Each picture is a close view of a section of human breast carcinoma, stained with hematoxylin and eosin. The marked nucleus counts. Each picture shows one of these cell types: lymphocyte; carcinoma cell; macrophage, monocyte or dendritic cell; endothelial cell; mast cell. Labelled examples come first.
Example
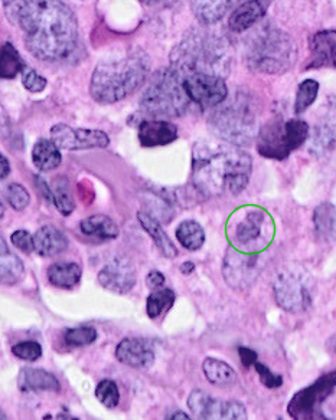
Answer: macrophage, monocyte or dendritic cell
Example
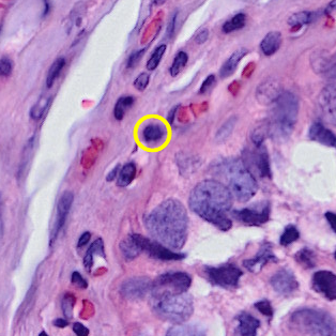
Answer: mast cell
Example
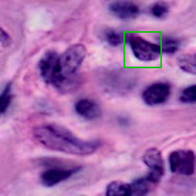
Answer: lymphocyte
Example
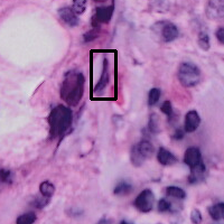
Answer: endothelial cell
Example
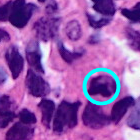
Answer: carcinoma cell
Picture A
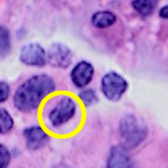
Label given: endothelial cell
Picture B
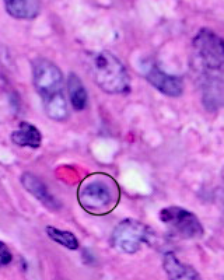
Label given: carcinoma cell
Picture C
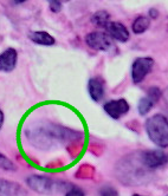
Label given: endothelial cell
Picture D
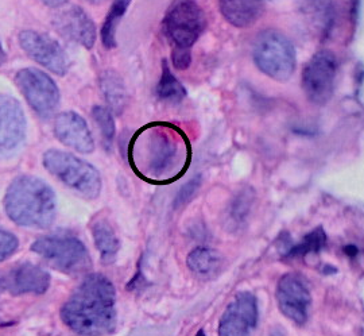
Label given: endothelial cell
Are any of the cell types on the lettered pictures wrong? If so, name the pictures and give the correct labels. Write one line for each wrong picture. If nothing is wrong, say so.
A: not endothelial cell but lymphocyte
B: not carcinoma cell but endothelial cell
